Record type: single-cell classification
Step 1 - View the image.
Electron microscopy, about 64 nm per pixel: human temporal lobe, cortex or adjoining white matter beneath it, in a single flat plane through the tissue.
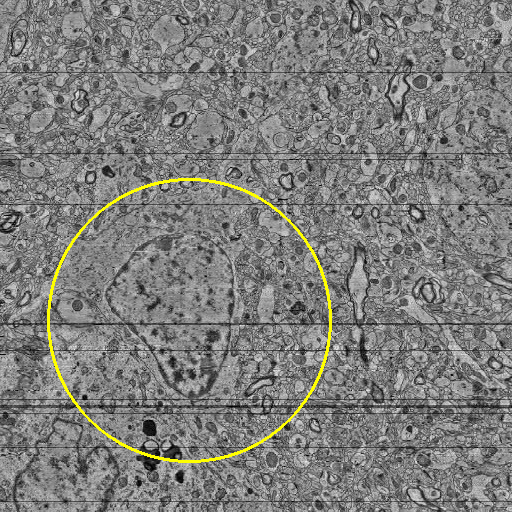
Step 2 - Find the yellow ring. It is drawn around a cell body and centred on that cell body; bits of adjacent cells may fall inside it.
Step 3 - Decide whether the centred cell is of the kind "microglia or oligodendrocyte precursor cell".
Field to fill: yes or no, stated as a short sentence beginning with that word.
Yes, the centred cell is of that kind.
